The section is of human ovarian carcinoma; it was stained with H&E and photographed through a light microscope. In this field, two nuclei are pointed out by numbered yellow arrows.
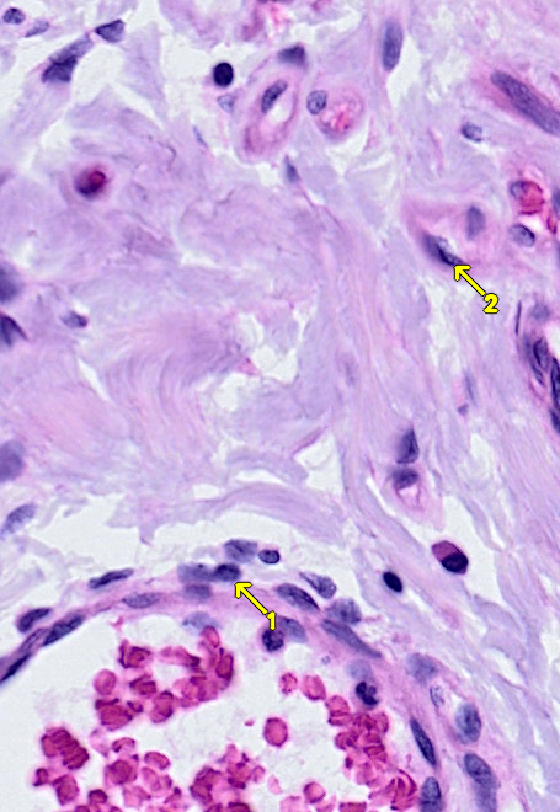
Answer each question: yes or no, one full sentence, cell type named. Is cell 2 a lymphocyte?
No, cell 2 is identified not as a lymphocyte but as an endothelial cell.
